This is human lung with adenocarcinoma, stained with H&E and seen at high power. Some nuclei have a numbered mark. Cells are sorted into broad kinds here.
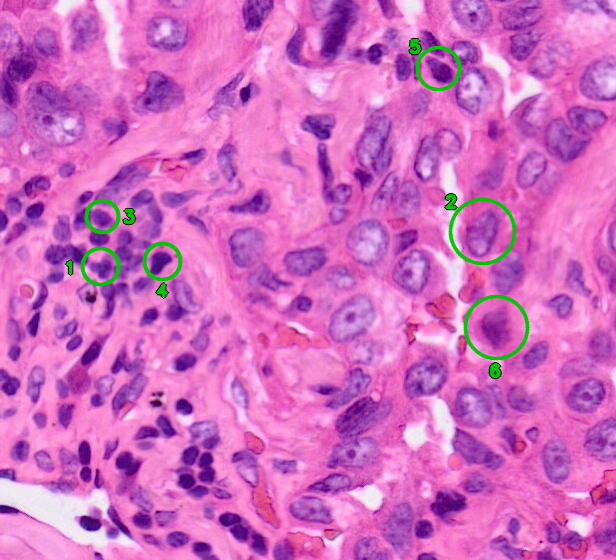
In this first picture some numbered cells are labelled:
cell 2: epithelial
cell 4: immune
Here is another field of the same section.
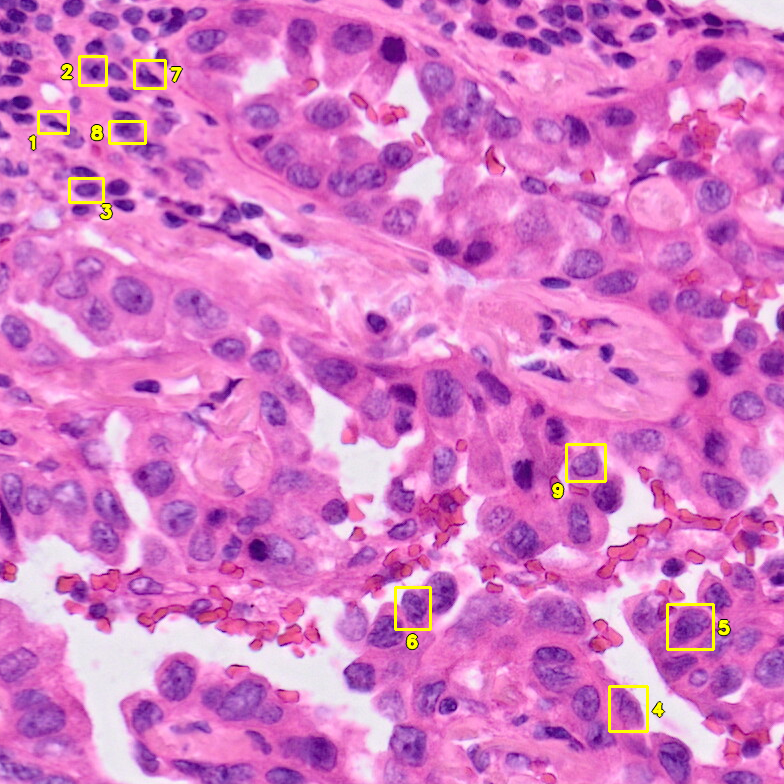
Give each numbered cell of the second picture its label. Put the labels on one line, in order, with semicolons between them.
immune; immune; immune; epithelial; epithelial; epithelial; immune; immune; epithelial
